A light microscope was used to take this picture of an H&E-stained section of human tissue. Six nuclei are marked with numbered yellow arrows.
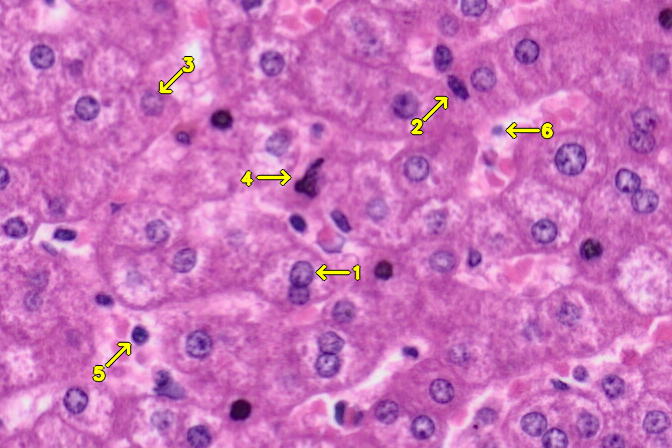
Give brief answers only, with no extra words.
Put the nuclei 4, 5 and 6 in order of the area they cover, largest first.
4, 5, 6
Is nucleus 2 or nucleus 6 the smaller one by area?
6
